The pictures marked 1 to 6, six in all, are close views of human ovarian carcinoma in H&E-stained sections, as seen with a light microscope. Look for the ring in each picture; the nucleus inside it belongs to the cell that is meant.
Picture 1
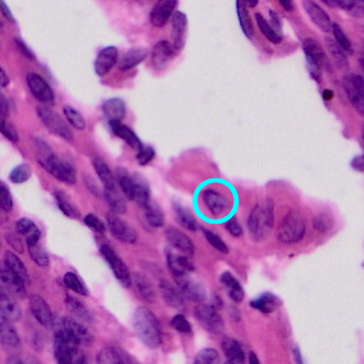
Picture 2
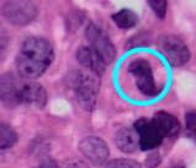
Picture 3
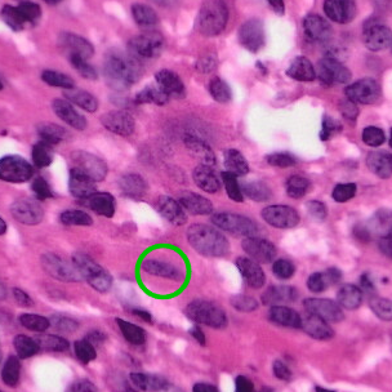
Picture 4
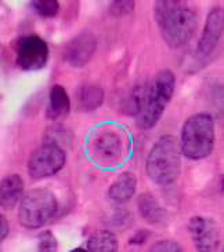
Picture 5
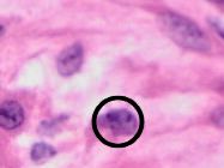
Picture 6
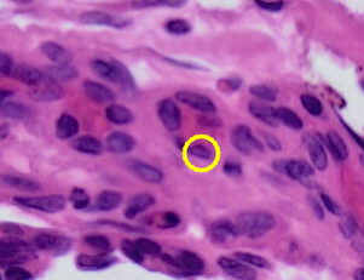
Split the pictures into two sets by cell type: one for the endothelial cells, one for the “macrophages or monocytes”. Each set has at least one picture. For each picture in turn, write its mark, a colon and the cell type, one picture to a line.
1: endothelial cell
2: macrophage or monocyte
3: endothelial cell
4: macrophage or monocyte
5: macrophage or monocyte
6: endothelial cell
